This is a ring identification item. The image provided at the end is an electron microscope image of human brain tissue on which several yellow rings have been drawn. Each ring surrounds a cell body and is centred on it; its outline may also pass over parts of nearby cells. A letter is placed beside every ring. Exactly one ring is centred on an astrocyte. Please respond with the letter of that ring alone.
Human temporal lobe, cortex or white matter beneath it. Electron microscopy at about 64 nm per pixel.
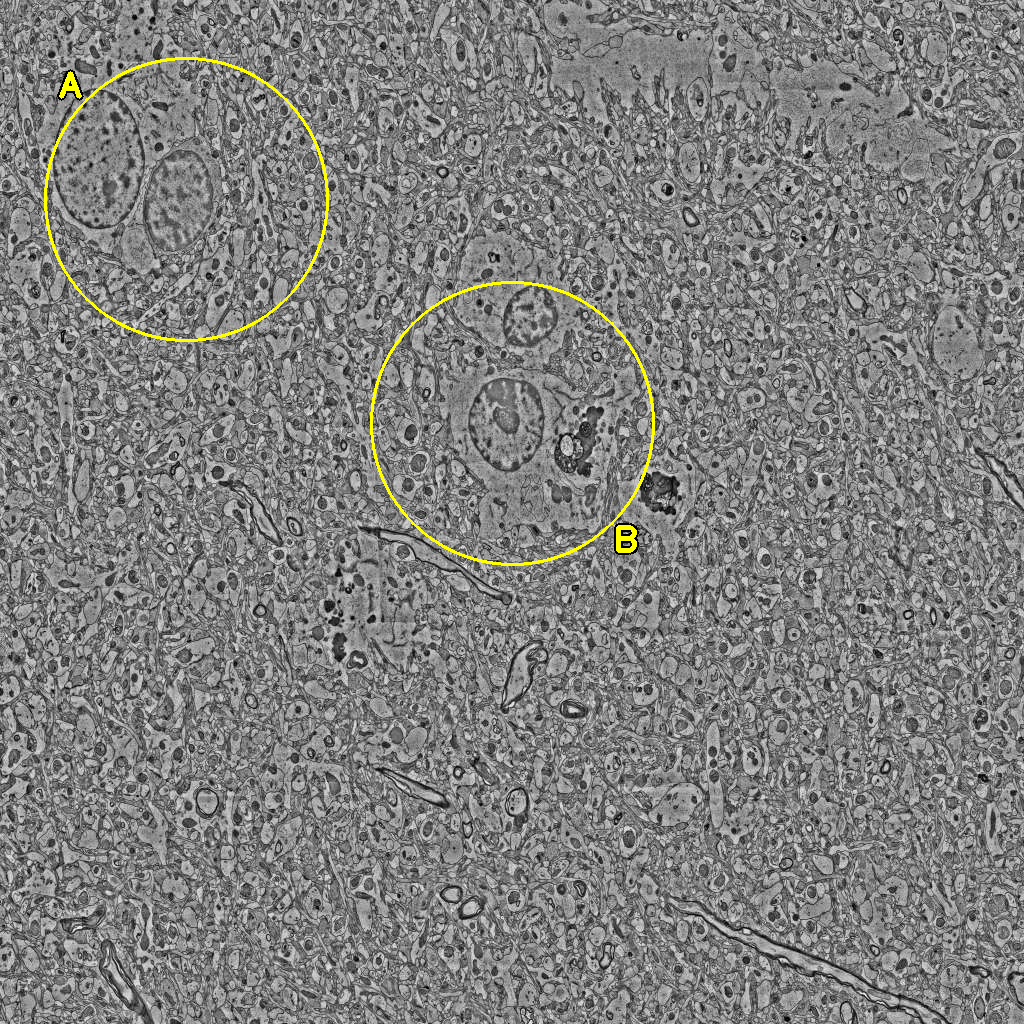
B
